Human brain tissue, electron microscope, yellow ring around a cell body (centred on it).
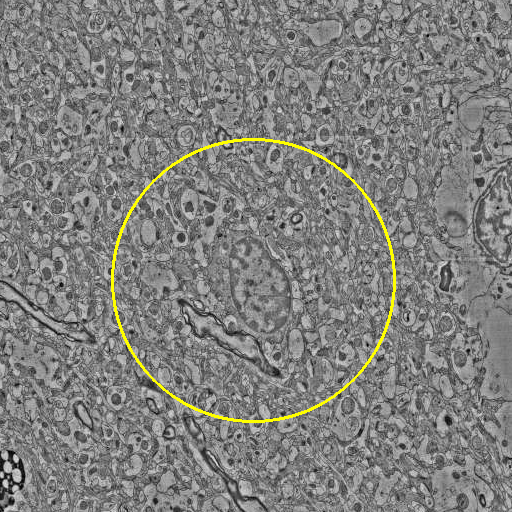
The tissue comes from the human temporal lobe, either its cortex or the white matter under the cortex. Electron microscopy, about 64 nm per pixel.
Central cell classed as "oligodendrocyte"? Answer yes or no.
yes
